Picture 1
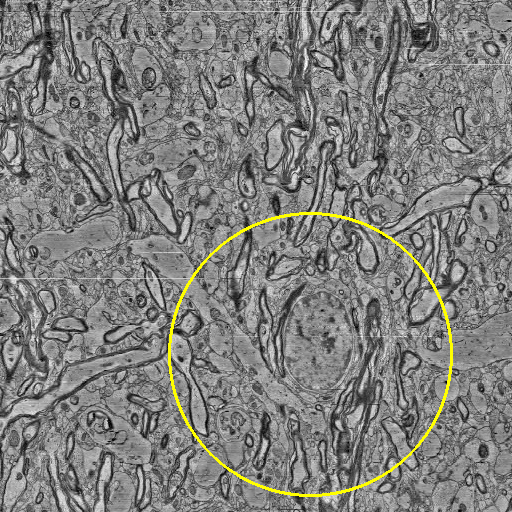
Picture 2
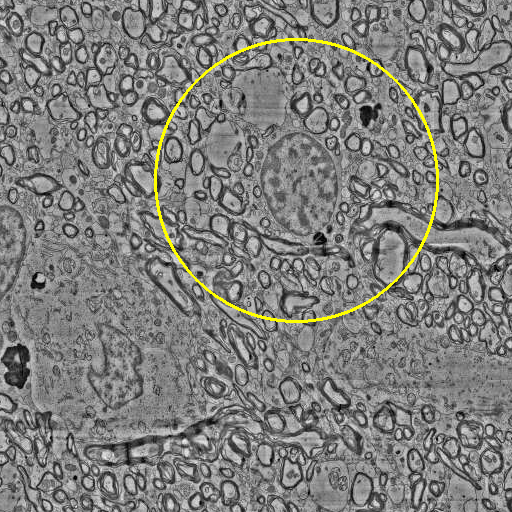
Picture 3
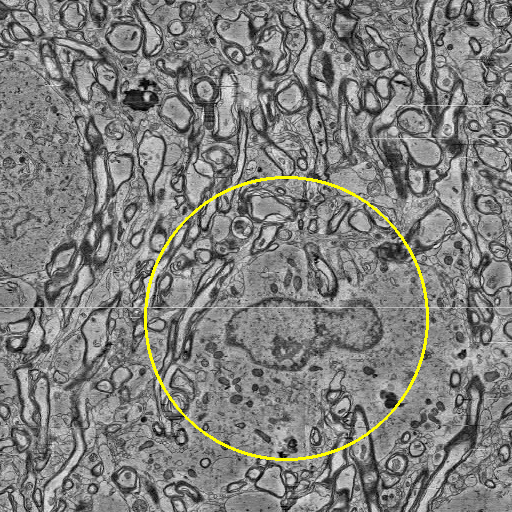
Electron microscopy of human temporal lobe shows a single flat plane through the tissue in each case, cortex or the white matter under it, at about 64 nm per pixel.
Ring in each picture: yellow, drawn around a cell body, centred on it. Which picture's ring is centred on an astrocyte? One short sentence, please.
Picture 3 is the one.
